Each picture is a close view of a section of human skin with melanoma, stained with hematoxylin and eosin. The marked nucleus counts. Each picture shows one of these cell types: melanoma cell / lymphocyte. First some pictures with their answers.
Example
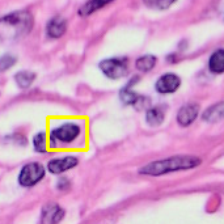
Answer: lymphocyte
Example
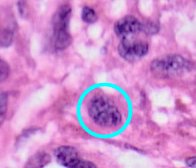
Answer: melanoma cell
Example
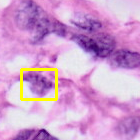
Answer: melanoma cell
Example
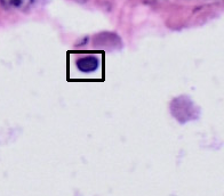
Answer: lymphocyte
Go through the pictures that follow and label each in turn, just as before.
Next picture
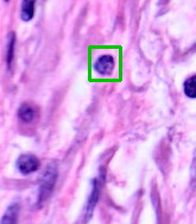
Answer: lymphocyte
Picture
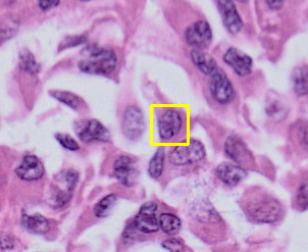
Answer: melanoma cell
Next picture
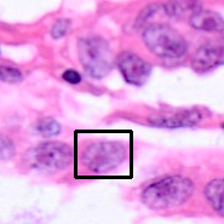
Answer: melanoma cell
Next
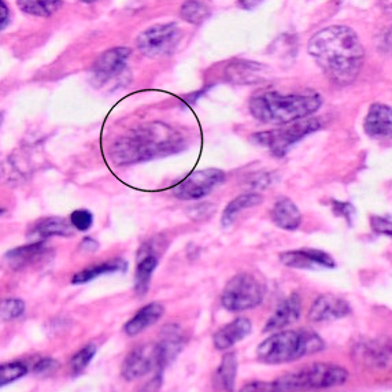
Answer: melanoma cell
